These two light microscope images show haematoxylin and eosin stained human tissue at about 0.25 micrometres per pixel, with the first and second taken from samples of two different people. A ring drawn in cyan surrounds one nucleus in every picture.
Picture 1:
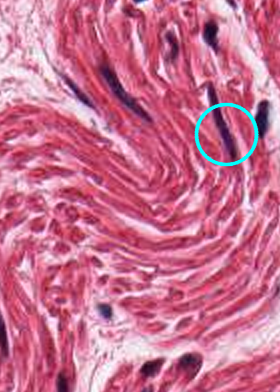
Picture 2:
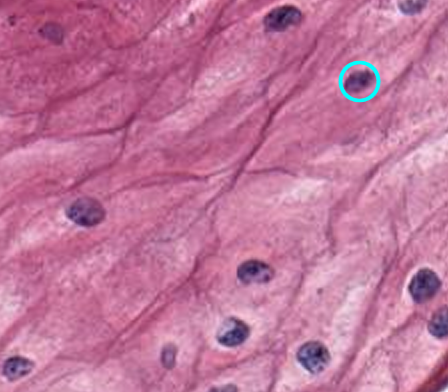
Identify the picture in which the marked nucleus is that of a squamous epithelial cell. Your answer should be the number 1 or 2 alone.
2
